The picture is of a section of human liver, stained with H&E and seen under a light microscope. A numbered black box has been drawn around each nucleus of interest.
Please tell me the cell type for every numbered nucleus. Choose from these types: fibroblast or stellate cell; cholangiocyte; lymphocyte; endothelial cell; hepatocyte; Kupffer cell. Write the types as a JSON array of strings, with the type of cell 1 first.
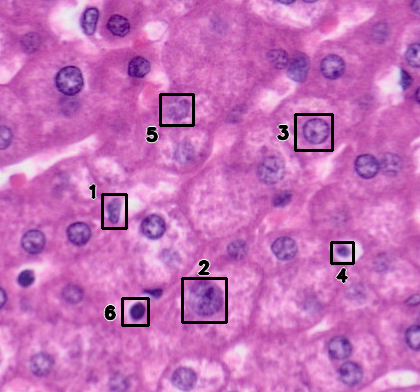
["endothelial cell", "hepatocyte", "hepatocyte", "lymphocyte", "hepatocyte", "lymphocyte"]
